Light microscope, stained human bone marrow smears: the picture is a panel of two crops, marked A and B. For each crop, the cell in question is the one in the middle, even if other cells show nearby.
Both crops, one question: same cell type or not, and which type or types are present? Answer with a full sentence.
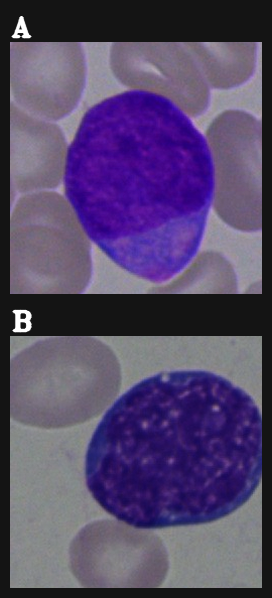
Yes, the cells that the two crops centre on are blasts.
